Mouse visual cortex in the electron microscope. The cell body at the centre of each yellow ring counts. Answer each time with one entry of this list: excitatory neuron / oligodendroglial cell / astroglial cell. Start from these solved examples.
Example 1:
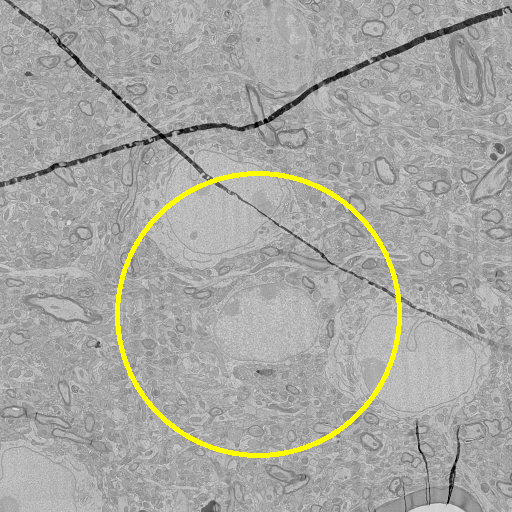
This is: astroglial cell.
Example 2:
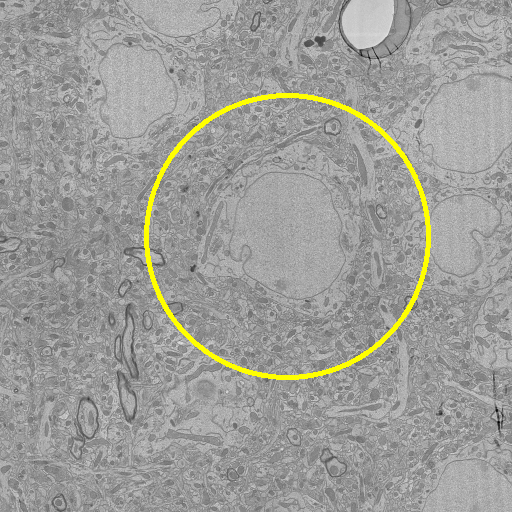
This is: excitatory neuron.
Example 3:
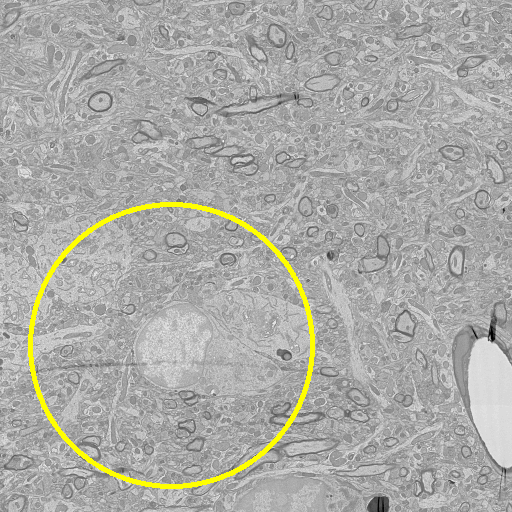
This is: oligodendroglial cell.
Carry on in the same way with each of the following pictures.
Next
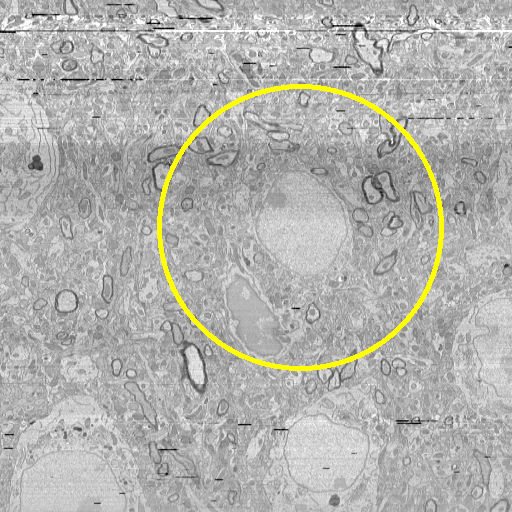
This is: astroglial cell.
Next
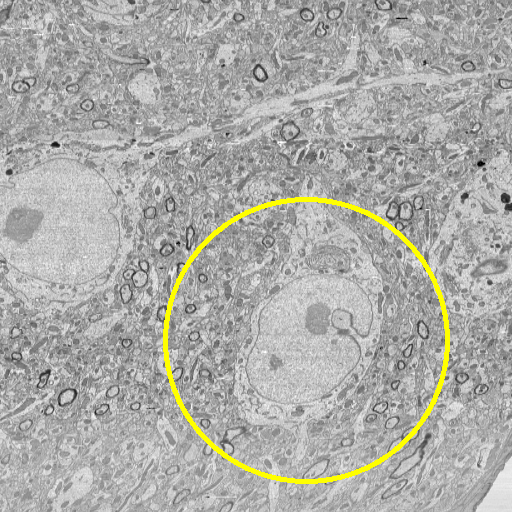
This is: excitatory neuron.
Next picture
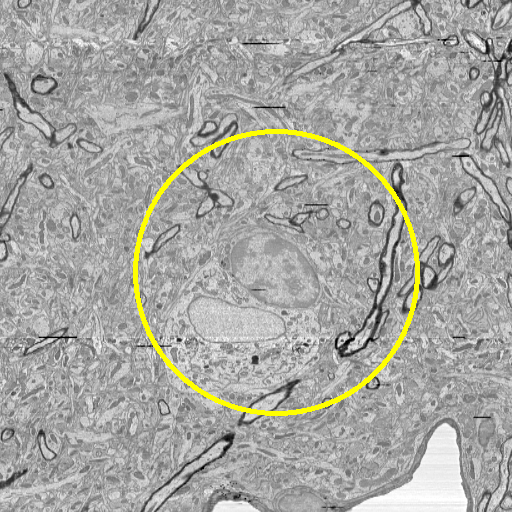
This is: oligodendroglial cell.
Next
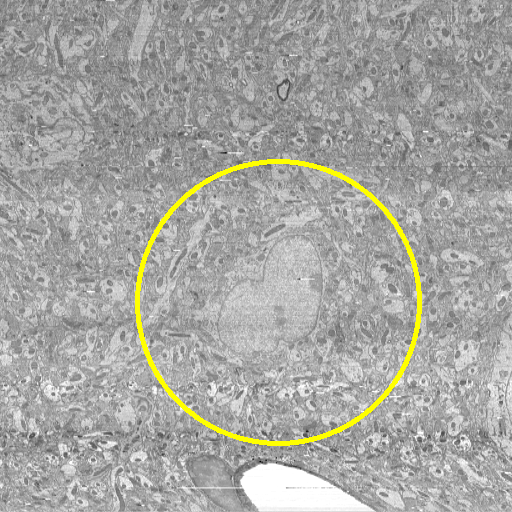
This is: astroglial cell.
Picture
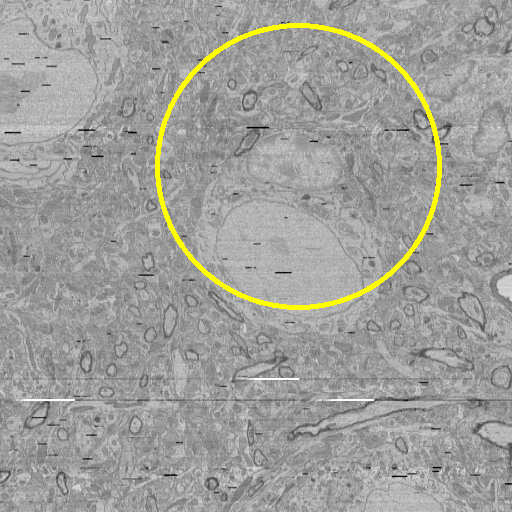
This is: oligodendroglial cell.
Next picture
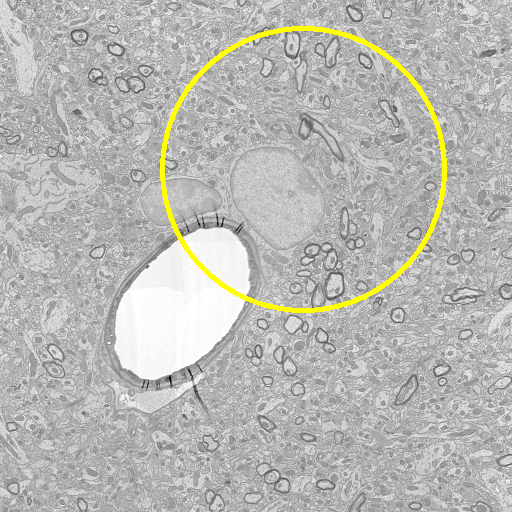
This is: astroglial cell.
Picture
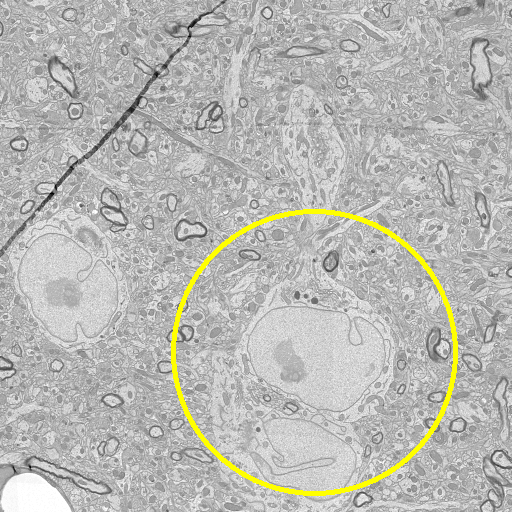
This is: excitatory neuron.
